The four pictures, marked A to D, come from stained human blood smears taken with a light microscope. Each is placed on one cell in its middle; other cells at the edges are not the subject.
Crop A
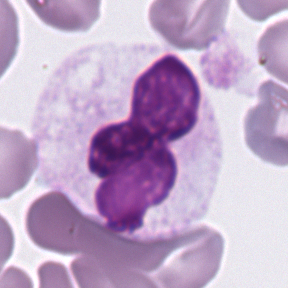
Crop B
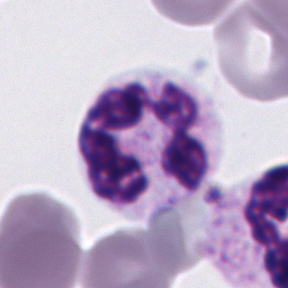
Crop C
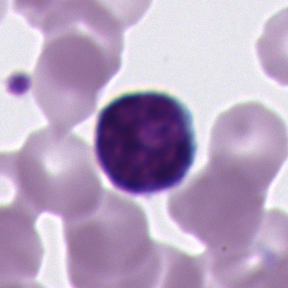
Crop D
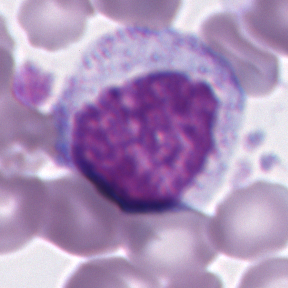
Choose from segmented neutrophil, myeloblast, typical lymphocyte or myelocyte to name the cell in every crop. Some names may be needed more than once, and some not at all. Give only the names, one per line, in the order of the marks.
segmented neutrophil
segmented neutrophil
typical lymphocyte
myelocyte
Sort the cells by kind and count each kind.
segmented neutrophil: 2
typical lymphocyte: 1
myelocyte: 1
